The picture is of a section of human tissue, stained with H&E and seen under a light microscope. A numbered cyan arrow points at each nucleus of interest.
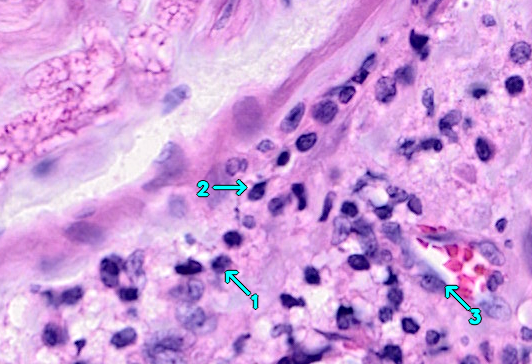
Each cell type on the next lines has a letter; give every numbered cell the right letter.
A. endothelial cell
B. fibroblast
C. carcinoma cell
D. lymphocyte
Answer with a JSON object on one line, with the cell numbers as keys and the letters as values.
{"1": "D", "2": "D", "3": "A"}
